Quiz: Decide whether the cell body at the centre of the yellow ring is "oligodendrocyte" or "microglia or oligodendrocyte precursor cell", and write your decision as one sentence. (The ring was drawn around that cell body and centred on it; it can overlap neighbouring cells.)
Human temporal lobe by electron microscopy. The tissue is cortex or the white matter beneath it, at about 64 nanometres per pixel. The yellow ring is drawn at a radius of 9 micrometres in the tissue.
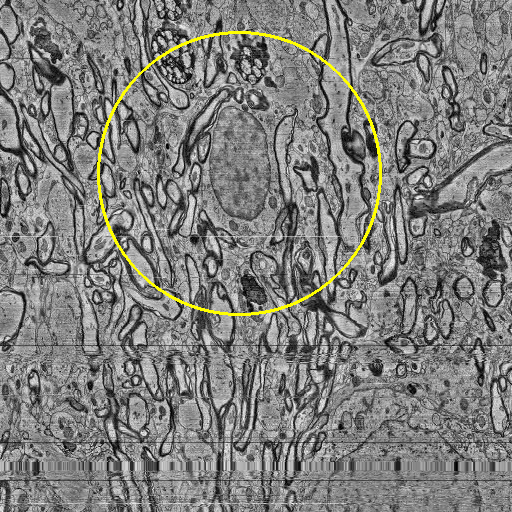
The cell the ring is centred on is an oligodendrocyte.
